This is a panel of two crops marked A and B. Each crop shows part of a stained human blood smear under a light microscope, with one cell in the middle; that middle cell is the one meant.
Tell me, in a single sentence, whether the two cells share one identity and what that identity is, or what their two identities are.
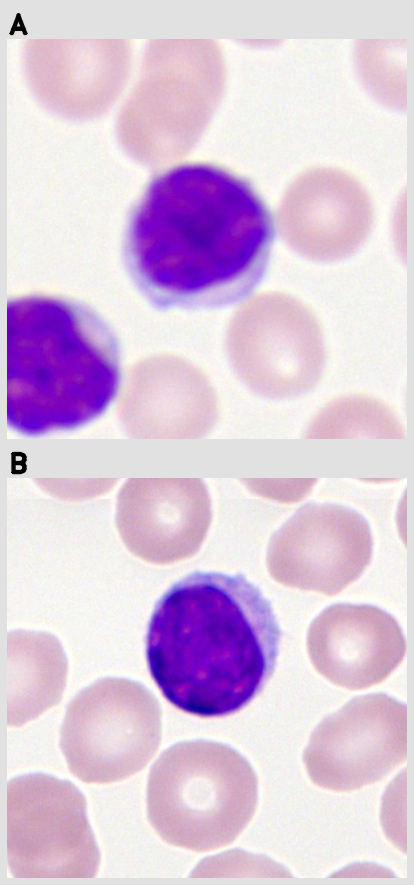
Yes, as for both crops, the cells shown are lymphocytes.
